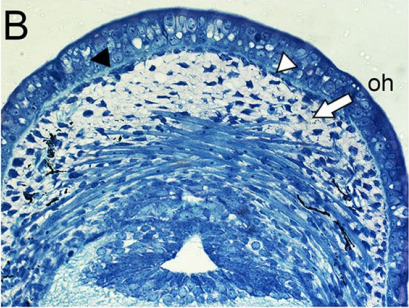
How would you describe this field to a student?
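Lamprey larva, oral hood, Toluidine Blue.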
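The epithelium is a dark blue layer of tall, closely packed cells resting on a thin basement membrane. Beneath it lies a wide zone of pale, loosely textured matrix with scattered small nuclei and a few dark pigment streaks. Deeper, the tissue becomes denser, with elongated cells arranged in curved concentric layers. A small triangular lumen lies at the centre of this dense core.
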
